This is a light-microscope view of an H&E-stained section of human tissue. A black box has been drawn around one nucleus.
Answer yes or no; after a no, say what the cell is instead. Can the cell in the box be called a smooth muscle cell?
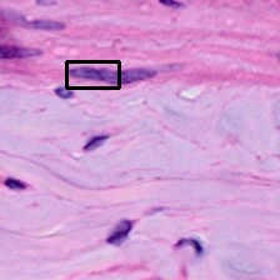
Yes.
